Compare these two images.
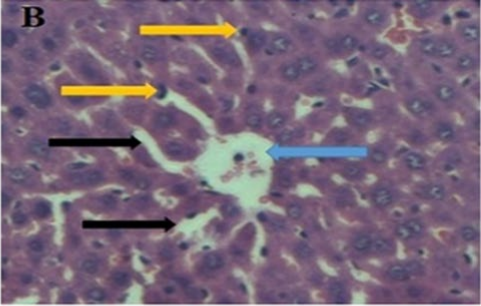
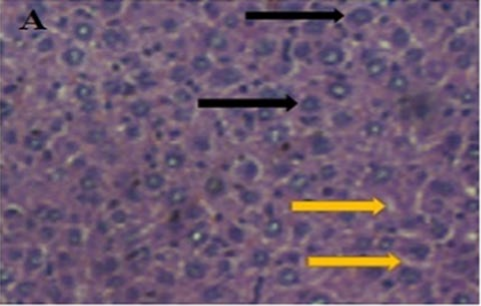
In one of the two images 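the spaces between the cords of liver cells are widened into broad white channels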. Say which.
The first image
